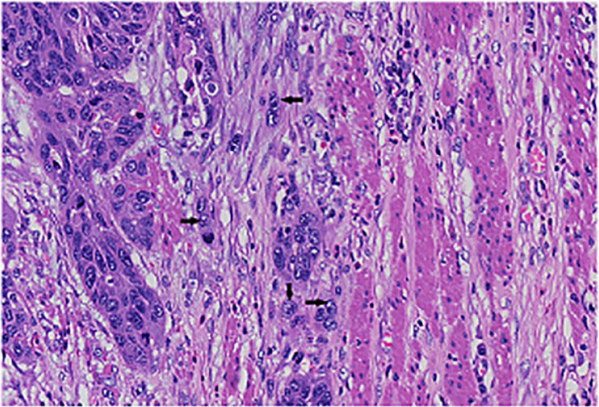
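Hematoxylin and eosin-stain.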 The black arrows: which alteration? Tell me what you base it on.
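The arrows point to single cells or tiny clusters of a few atypical cells lying apart from the larger tumor nests. These small clusters sit in pink stroma away from the main cords of tumor cells.
Answer: tumor budding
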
